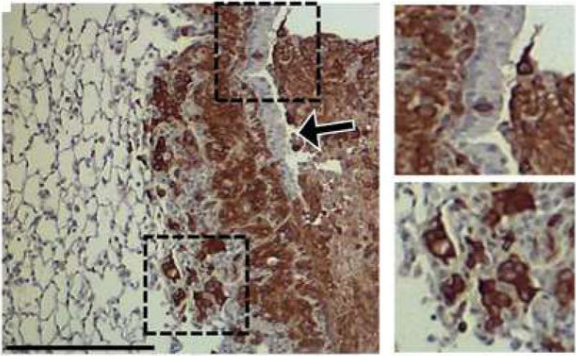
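Lung parenchyma with thin-walled empty alveoli on the left and a solid mass of brown-stained tumor cells on the right. The tumor cells are large and polygonal, with ample brown cytoplasm and blue nuclei. At the edge the brown cells lie singly and in small groups within alveolar spaces, so the border is ragged rather than even. Within the mass runs an elongated pale lumen lined by a thin layer of unstained cells, partly occupied by brown cells.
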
